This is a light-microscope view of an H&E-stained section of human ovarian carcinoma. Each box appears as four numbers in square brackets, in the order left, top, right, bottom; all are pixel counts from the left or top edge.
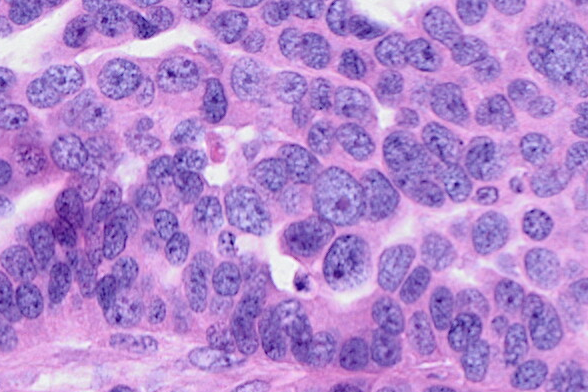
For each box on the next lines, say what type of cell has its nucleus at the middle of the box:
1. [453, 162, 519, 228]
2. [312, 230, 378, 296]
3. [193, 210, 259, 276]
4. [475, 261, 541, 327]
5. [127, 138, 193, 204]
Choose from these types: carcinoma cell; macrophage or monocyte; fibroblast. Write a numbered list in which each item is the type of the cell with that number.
1. macrophage or monocyte
2. carcinoma cell
3. macrophage or monocyte
4. carcinoma cell
5. carcinoma cell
